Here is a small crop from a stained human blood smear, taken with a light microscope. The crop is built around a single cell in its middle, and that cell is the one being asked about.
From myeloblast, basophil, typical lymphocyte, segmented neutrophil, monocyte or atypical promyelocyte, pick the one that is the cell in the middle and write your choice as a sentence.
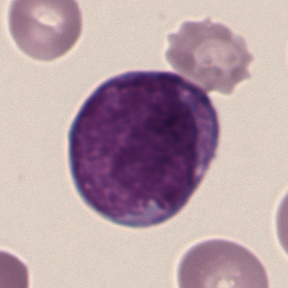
This crop is built around an atypical promyelocyte at its centre.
